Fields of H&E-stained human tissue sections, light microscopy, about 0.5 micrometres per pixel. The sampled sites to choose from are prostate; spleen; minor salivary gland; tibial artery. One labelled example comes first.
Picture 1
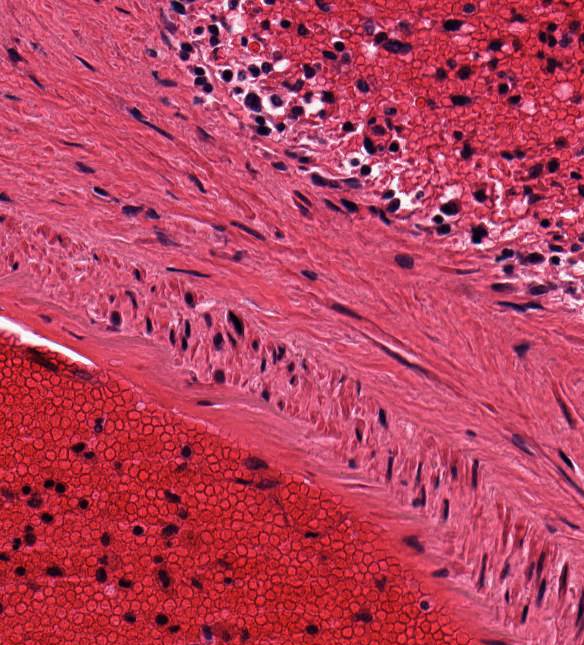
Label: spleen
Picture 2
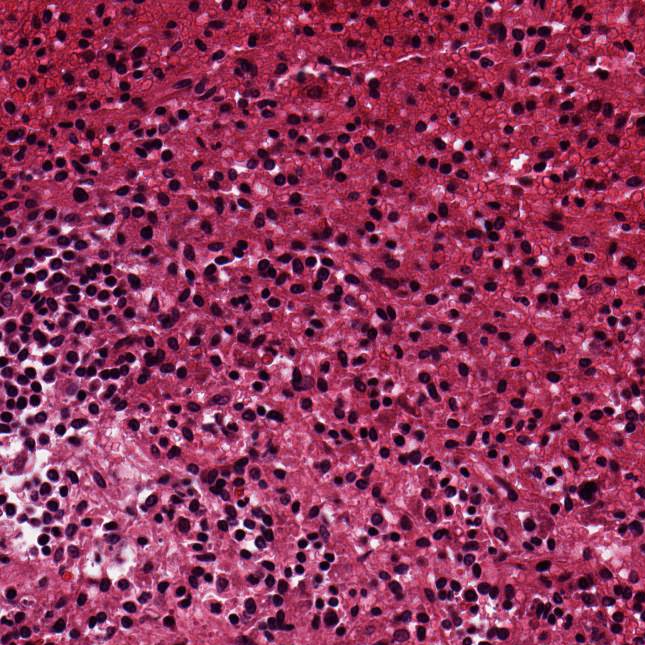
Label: spleen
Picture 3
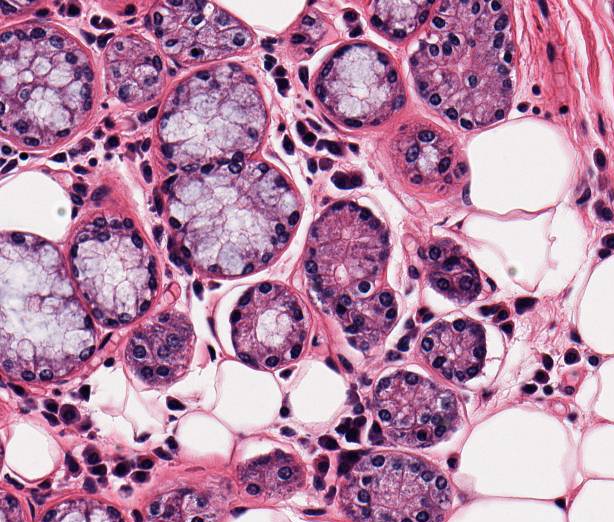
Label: minor salivary gland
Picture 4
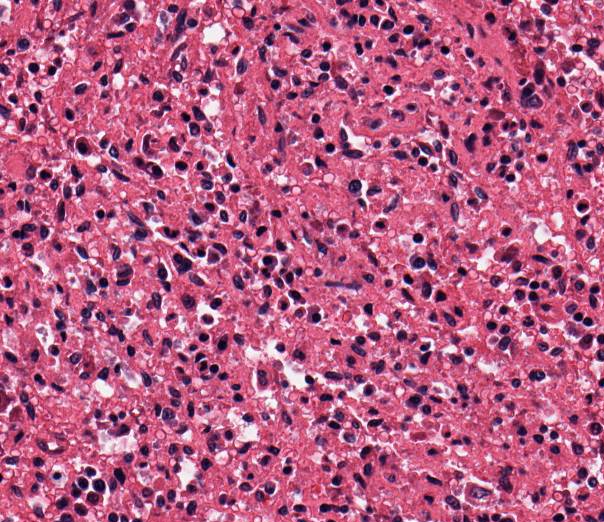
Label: spleen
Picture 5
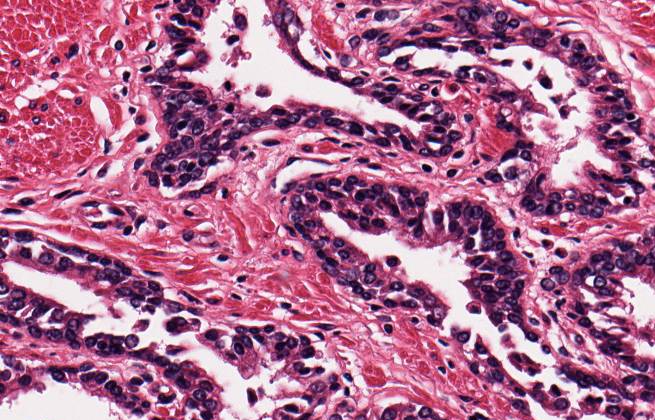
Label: prostate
